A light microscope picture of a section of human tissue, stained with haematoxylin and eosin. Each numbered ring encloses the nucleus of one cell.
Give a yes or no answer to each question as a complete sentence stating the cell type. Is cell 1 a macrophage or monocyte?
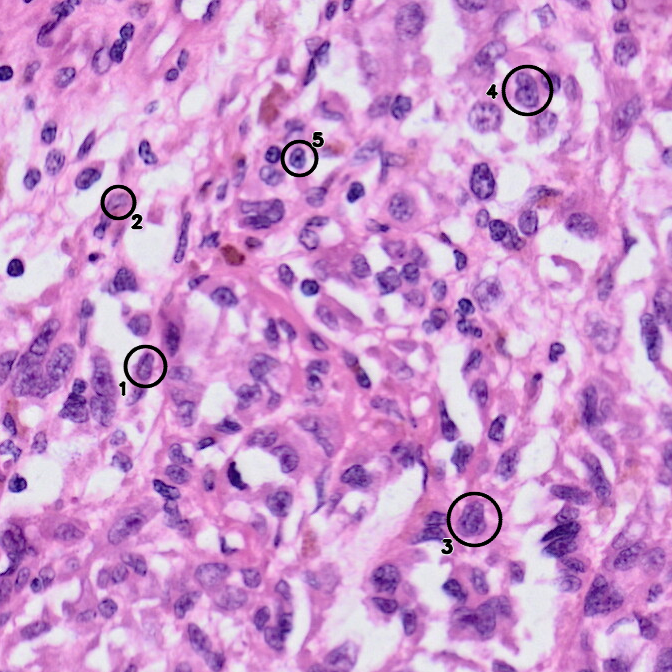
Yes, what number 1 marks is a macrophage or monocyte.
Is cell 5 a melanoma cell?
No, cell 5 does not count as a melanoma cell; it is a lymphocyte.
